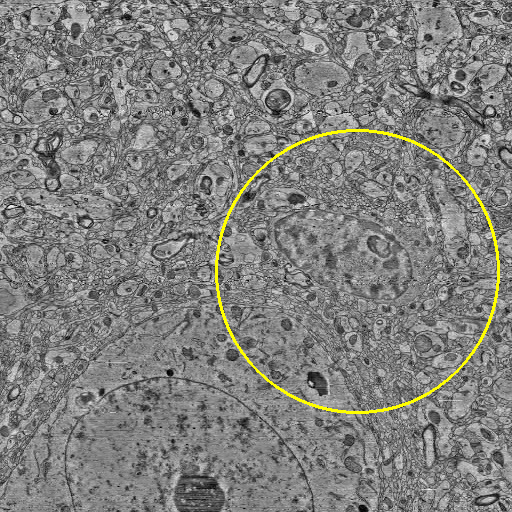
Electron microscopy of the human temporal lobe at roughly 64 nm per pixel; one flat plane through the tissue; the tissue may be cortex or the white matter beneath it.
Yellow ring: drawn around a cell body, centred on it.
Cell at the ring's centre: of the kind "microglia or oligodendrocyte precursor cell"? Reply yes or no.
no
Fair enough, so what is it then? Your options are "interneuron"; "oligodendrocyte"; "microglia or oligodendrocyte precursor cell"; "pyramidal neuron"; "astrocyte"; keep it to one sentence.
The cell shown in the ring is an oligodendrocyte.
